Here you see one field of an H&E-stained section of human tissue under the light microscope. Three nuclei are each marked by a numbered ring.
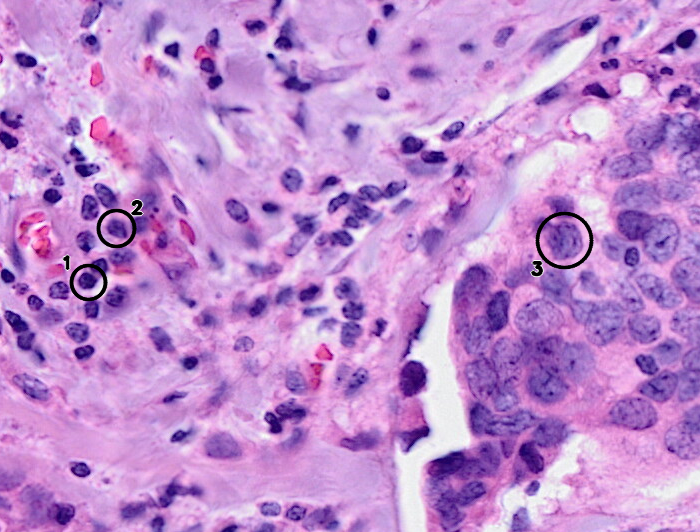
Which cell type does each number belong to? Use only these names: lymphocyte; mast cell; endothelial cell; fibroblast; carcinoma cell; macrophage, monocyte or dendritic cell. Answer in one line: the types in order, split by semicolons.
lymphocyte; lymphocyte; carcinoma cell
